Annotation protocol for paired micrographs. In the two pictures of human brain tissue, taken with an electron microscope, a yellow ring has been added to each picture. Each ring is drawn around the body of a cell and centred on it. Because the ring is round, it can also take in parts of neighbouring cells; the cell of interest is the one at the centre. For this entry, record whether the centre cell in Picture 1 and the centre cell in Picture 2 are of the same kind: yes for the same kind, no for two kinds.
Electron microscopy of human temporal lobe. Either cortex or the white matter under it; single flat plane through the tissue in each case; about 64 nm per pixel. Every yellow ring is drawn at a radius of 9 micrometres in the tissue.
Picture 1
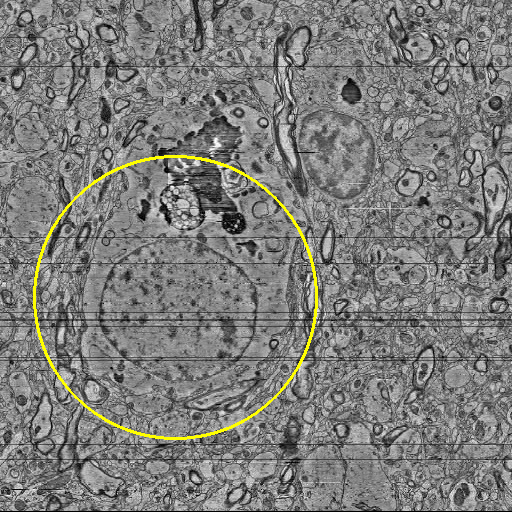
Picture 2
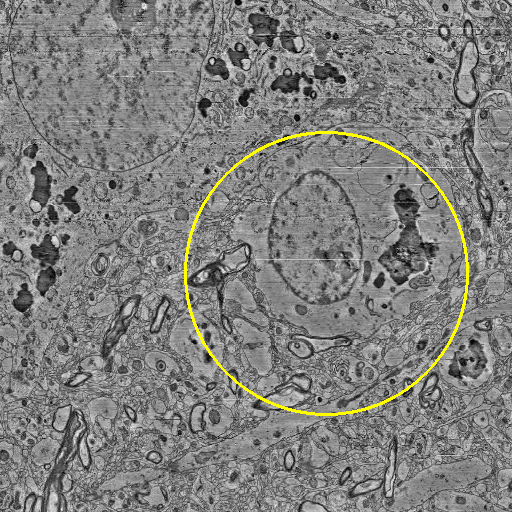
yes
